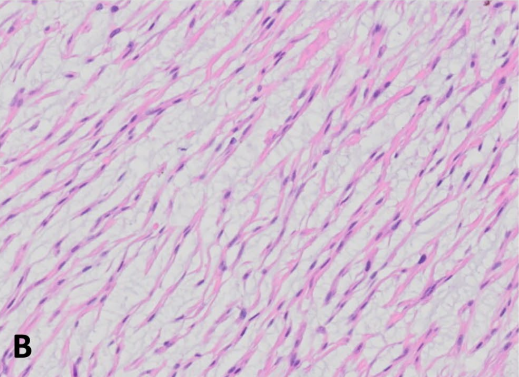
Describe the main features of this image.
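Spindle cells of a neoplasm lie in streams within a pale, loose matrix. The cells are elongated, with slender, dark purple, tapering nuclei and thin pink cytoplasmic processes. They run roughly in parallel and interweave in places. Wide spaces between the cells are filled by a pale, faintly bluish, myxoid background. Nuclei are fairly uniform and show no marked crowding.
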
